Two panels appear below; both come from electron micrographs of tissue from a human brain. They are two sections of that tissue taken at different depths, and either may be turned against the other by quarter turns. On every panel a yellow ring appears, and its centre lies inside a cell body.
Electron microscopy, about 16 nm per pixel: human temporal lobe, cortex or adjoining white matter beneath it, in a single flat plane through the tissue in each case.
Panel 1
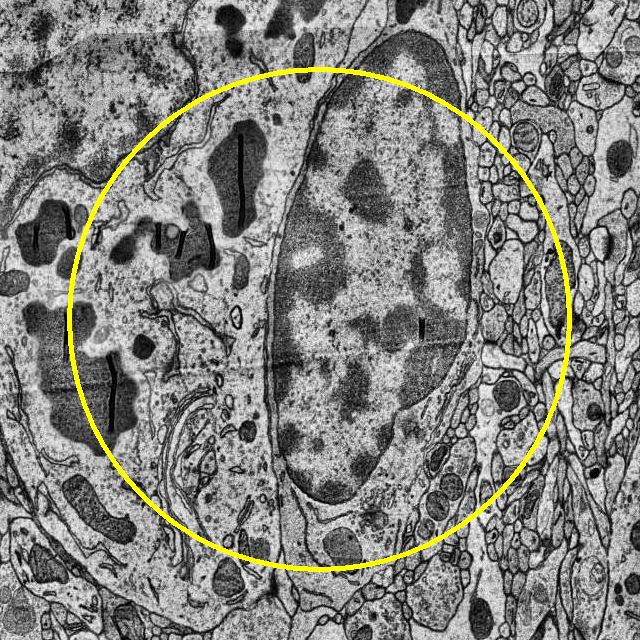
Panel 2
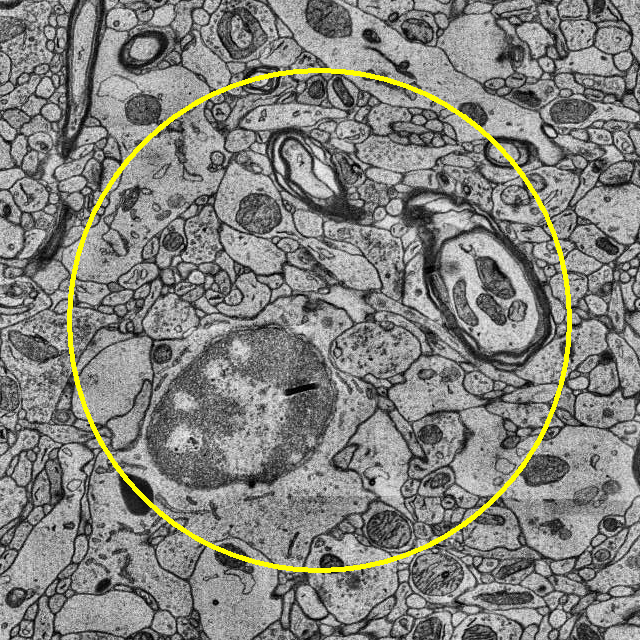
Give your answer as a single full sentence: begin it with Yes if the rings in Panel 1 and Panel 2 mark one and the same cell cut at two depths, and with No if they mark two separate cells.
No, in this micrograph the two rings mark two different cells.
